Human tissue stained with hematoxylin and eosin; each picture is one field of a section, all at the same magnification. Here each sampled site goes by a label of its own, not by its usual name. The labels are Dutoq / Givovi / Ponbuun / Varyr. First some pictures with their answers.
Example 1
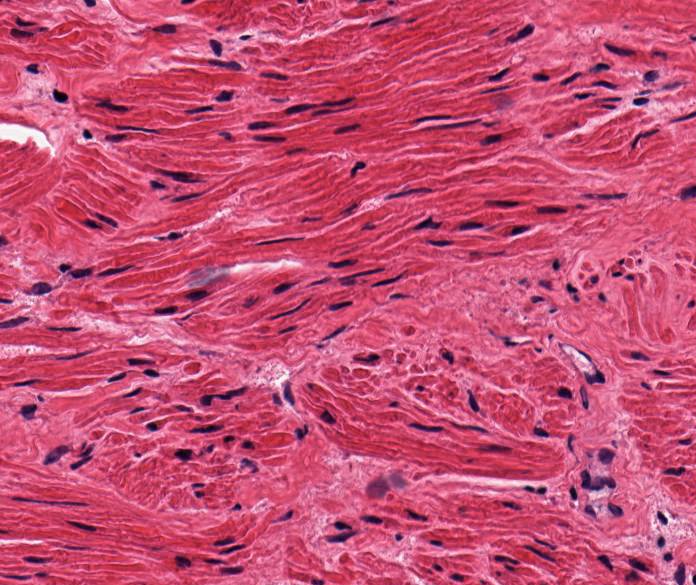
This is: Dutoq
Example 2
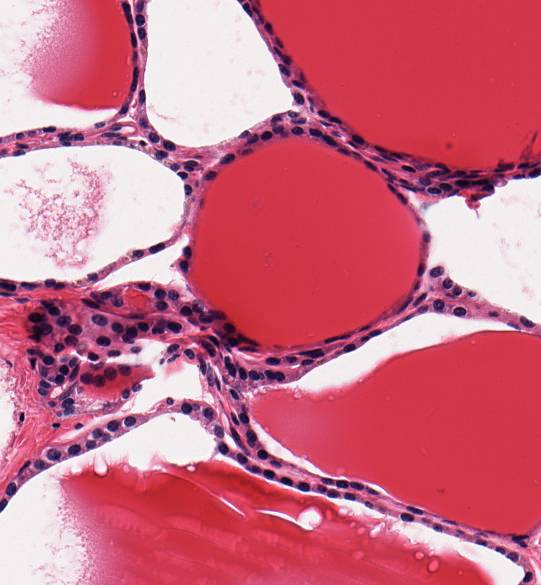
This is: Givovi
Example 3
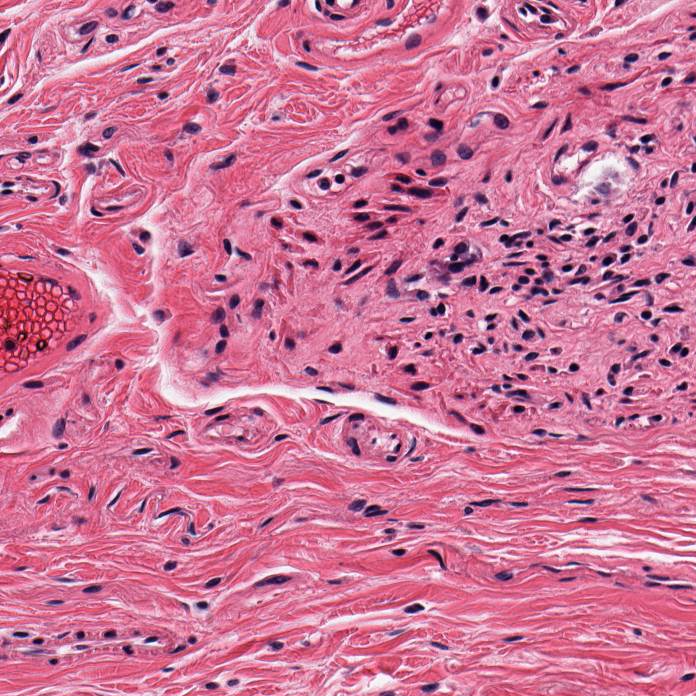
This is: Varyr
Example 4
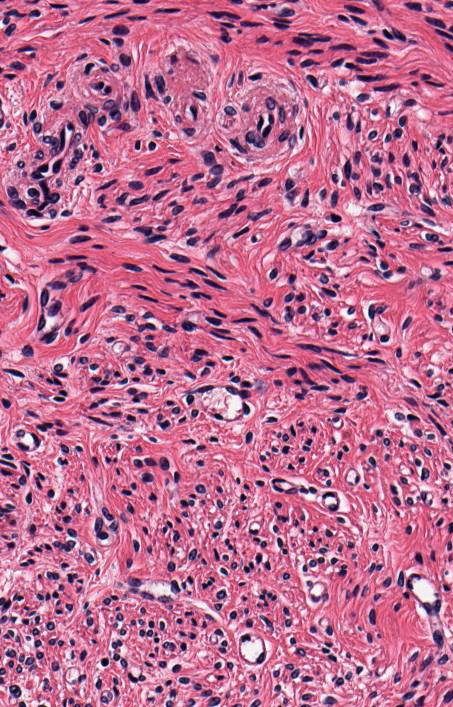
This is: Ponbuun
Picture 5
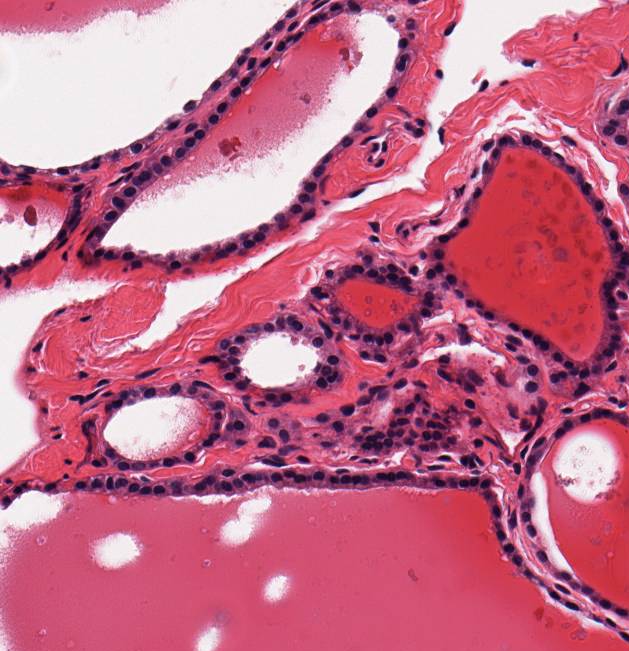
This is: Givovi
